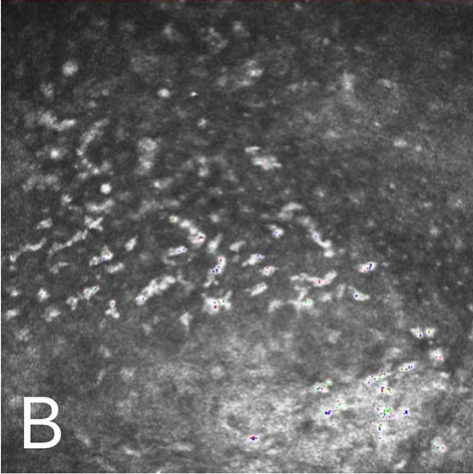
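This confocal image of the cornea shows scattered inflammatory cells. They appear as small, bright bodies lying against a hazy grey background. Some are round dots, while others are short, irregular or slightly elongated shapes. They are most numerous across the middle of the field and in the lower part, and fewer toward the top. No orderly pattern of cell borders is seen beneath them; instead the background is mottled, with a paler hazy area in the lower part of the field.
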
